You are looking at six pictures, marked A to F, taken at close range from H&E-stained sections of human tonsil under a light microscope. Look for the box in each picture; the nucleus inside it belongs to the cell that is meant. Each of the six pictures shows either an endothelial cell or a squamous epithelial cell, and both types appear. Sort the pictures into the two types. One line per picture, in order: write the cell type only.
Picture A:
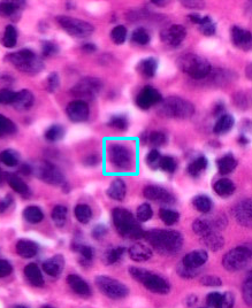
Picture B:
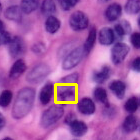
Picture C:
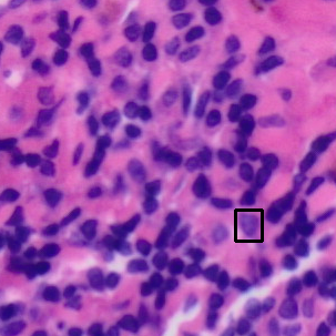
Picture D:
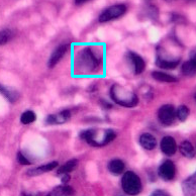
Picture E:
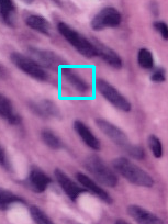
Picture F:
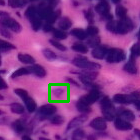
squamous epithelial cell
endothelial cell
endothelial cell
squamous epithelial cell
squamous epithelial cell
endothelial cell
